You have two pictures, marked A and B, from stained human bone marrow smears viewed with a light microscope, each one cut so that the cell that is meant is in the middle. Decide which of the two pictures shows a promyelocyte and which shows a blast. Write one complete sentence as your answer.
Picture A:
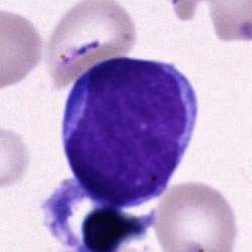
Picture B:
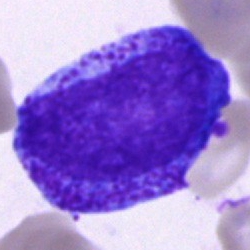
The cell in picture A is a blast, and the one in picture B is a promyelocyte.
